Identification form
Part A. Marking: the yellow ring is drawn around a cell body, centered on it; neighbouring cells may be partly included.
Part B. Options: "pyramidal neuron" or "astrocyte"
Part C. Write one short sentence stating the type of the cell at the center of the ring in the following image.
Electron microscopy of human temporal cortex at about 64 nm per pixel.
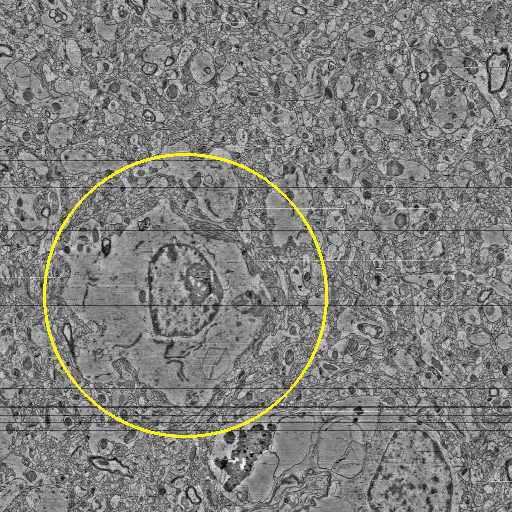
The center of the ring holds an astrocyte.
